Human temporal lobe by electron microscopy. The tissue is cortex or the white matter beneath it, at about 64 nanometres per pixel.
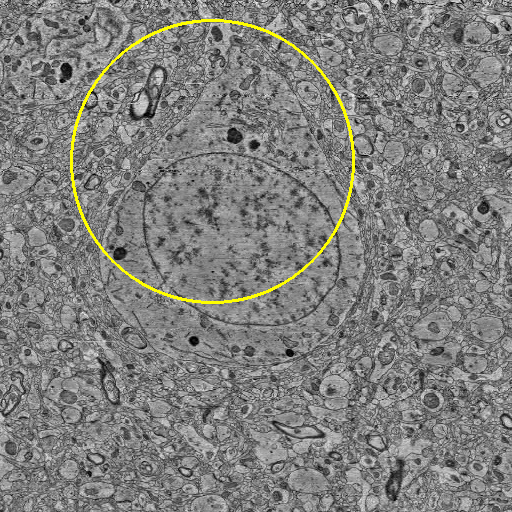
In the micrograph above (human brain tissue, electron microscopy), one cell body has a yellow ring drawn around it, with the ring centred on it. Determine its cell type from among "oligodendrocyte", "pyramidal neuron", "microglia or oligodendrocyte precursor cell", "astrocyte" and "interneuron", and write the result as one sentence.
The cell whose body is ringed is a pyramidal neuron.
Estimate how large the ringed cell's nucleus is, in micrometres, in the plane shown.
In this plane, the nucleus is roughly 13 by 11 micrometres.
